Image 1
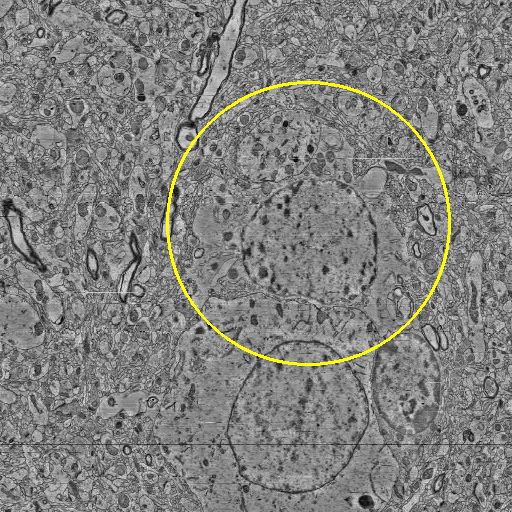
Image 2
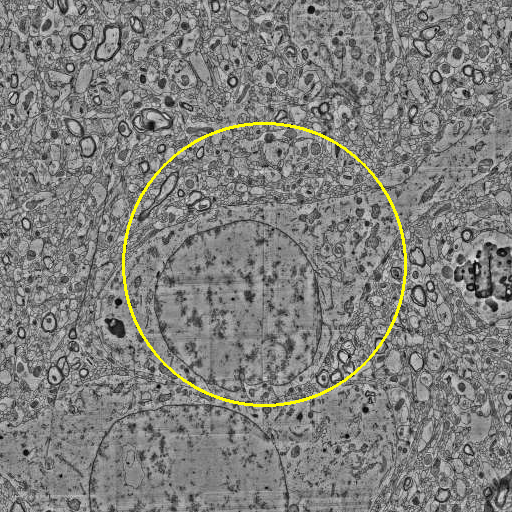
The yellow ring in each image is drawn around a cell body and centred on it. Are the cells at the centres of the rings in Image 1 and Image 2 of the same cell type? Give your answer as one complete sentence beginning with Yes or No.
No, the two cells are of two separate types.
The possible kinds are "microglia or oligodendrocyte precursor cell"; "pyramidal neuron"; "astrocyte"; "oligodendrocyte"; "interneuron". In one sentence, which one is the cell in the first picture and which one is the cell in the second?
The cell ringed in the second picture is a pyramidal neuron, whereas the one ringed in the first is an astrocyte.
